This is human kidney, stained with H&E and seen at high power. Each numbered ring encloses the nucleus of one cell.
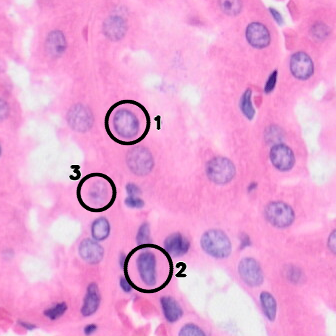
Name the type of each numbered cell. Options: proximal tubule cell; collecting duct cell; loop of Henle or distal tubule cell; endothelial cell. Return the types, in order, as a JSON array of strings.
["proximal tubule cell", "collecting duct cell", "proximal tubule cell"]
